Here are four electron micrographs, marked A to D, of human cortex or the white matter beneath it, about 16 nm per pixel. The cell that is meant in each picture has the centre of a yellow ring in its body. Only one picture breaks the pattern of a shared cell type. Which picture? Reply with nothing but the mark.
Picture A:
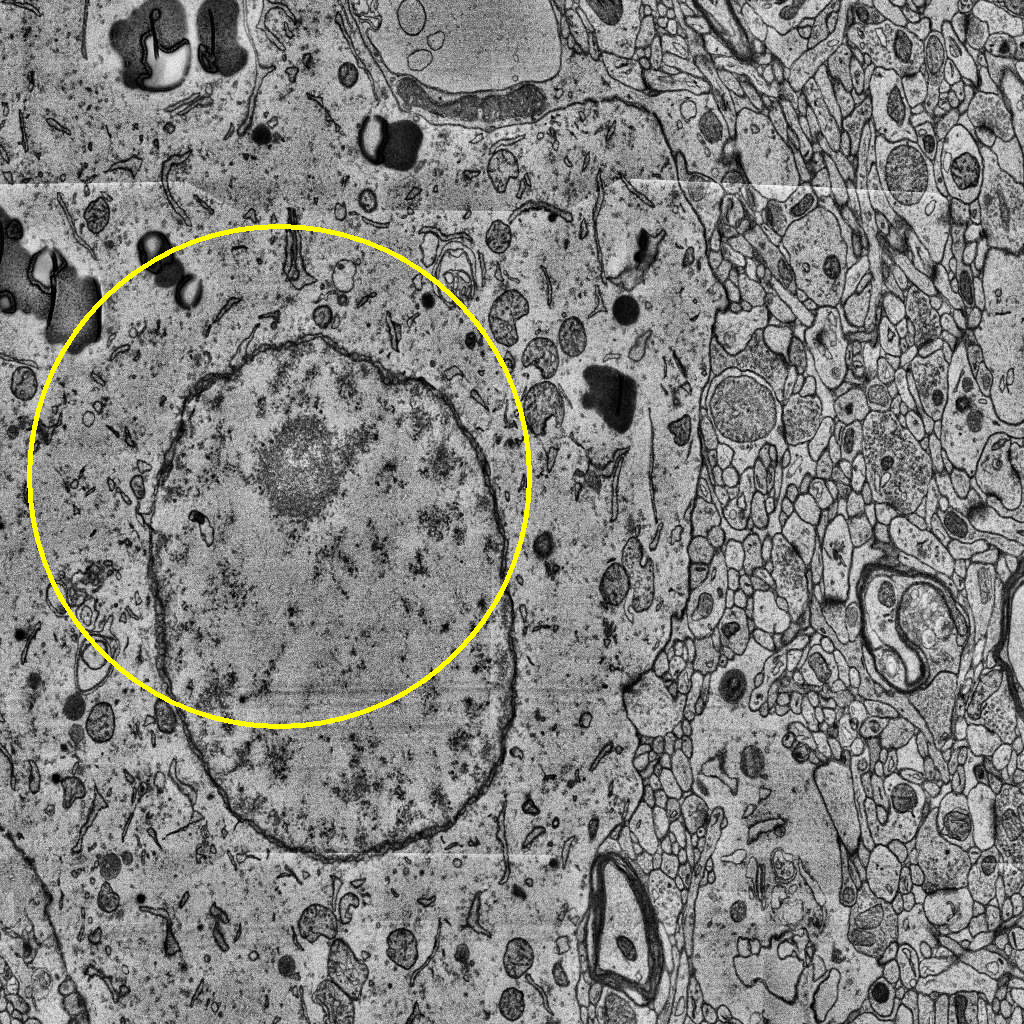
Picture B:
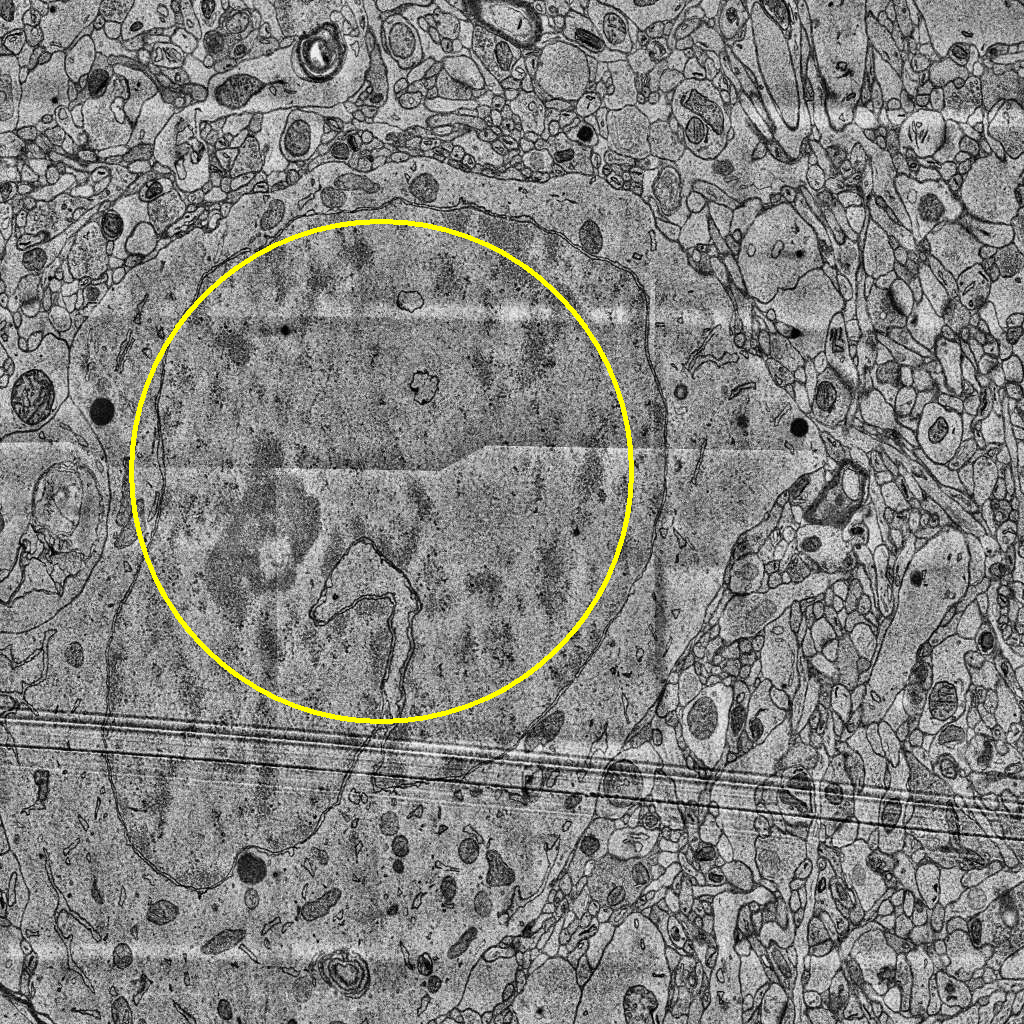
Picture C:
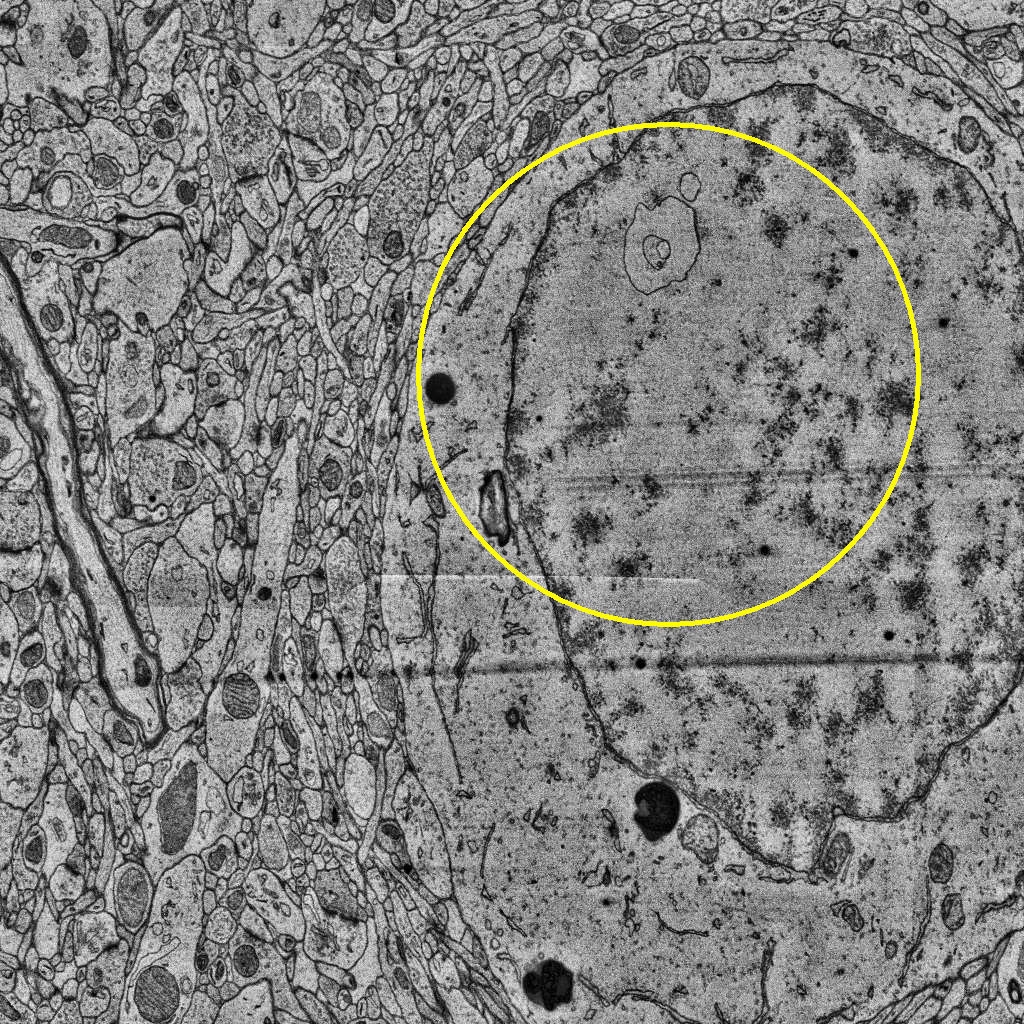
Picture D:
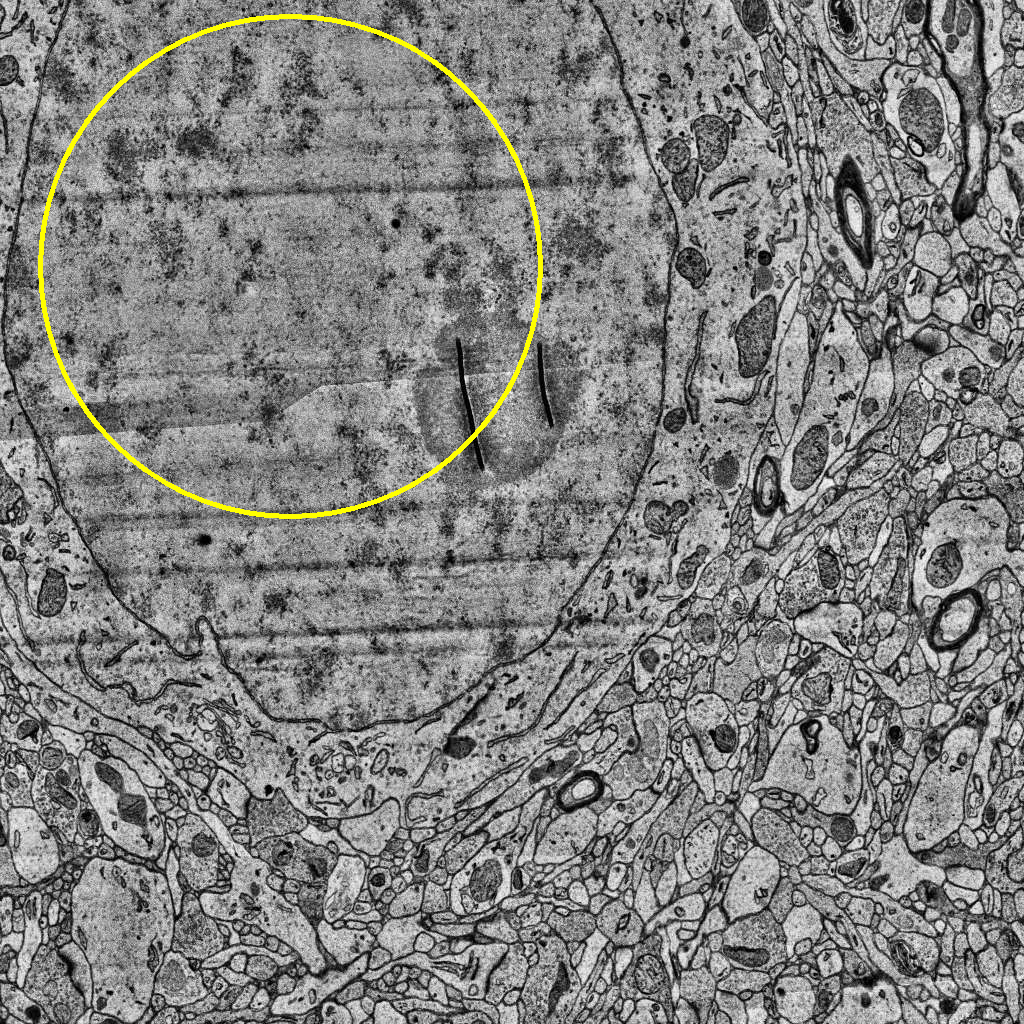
B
